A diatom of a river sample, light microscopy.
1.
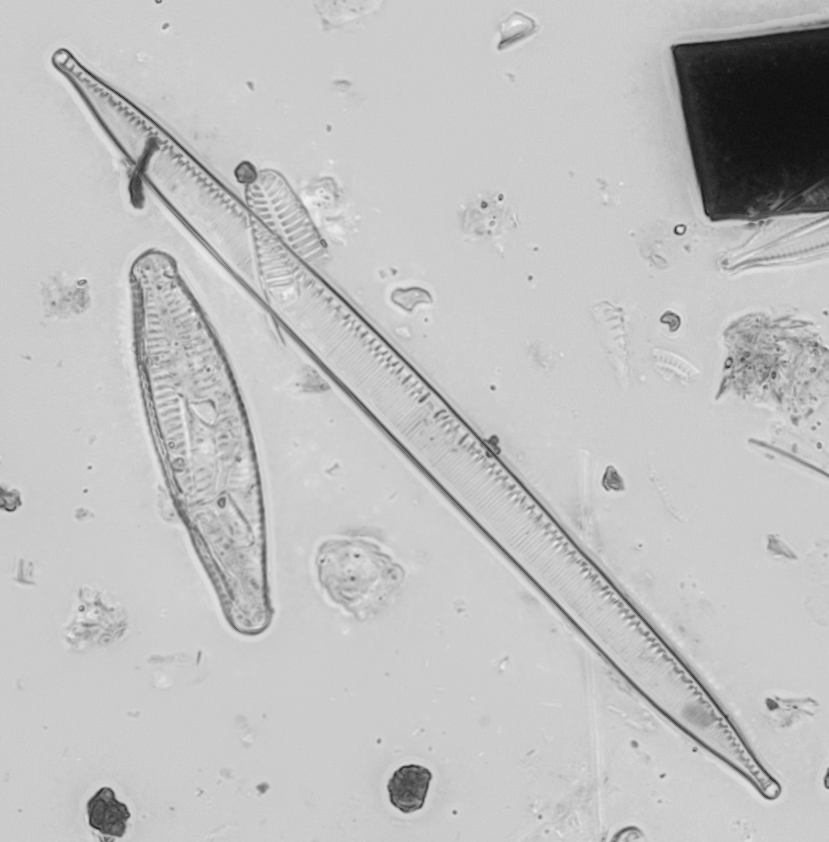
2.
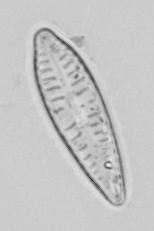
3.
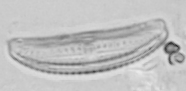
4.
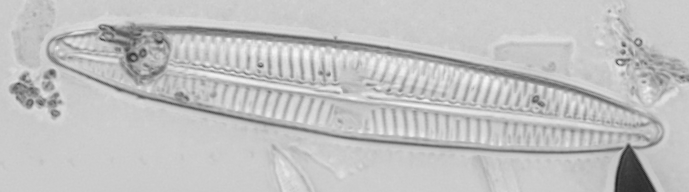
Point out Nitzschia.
That is picture 1.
